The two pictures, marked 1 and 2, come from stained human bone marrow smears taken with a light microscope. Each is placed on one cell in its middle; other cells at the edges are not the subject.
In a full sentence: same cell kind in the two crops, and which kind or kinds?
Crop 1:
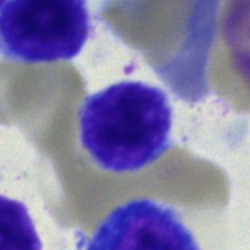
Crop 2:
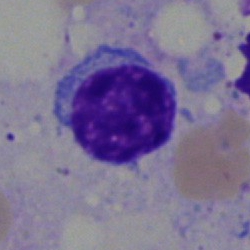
Yes, it is lymphocytes that sit at the centre of both crops.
